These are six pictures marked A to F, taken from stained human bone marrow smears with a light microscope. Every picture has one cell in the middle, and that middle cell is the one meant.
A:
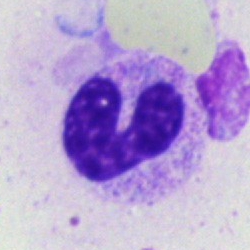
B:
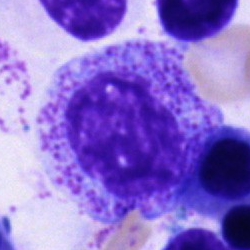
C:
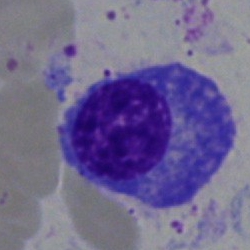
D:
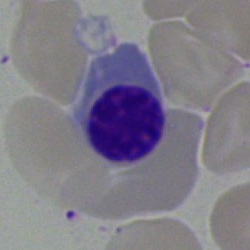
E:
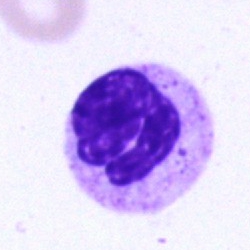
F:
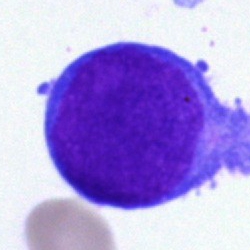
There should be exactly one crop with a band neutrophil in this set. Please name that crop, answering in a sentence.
Crop A is the one in the set with a band neutrophil at the center.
